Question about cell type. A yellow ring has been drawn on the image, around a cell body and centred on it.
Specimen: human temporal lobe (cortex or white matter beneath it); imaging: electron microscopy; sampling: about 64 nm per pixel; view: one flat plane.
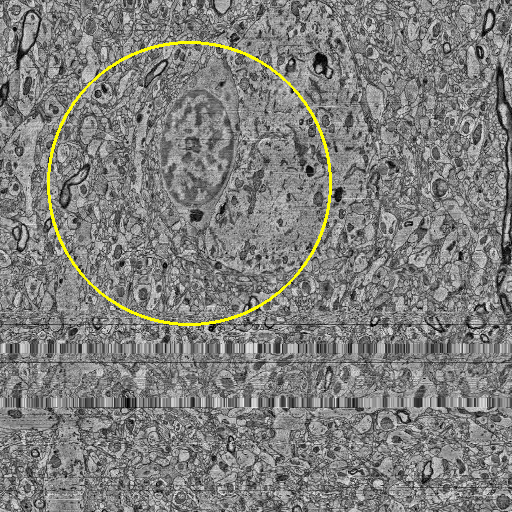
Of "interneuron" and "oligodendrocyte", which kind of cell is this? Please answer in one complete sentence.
At the centre of the ring lies an oligodendrocyte.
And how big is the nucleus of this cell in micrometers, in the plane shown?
In this plane the nucleus is clearly longer than it is wide, at approximately 7 by 5 micrometres.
